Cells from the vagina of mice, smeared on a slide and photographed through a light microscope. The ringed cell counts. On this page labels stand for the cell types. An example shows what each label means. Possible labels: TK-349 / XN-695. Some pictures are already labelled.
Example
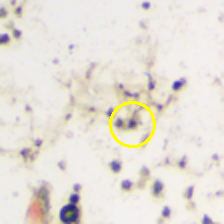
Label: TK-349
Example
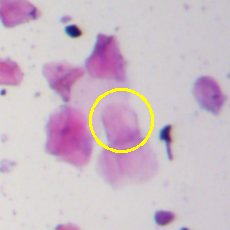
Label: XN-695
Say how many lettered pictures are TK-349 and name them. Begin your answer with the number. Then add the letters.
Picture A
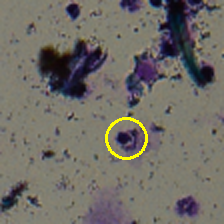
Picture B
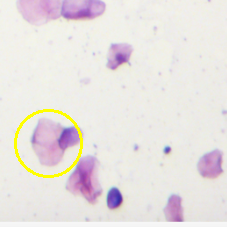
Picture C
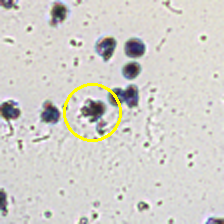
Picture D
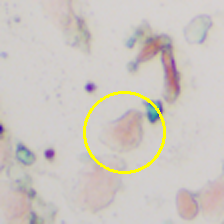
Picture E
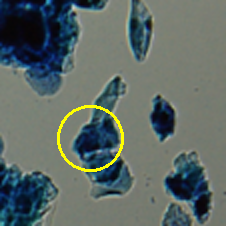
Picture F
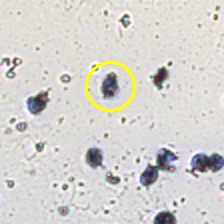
Count: 3 (A, C, F)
